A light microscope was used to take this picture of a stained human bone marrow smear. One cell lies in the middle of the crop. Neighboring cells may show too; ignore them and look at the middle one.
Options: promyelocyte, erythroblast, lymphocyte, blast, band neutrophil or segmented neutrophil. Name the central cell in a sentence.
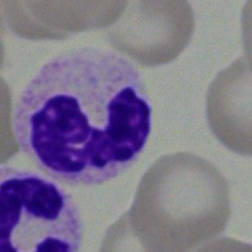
The central element of this crop is a cell, namely a segmented neutrophil.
